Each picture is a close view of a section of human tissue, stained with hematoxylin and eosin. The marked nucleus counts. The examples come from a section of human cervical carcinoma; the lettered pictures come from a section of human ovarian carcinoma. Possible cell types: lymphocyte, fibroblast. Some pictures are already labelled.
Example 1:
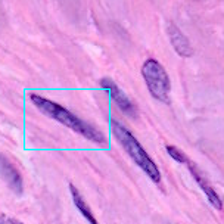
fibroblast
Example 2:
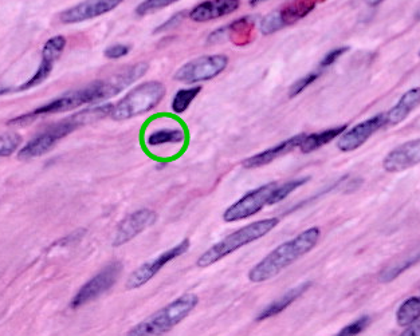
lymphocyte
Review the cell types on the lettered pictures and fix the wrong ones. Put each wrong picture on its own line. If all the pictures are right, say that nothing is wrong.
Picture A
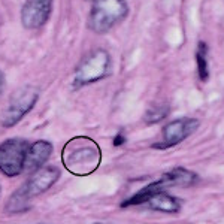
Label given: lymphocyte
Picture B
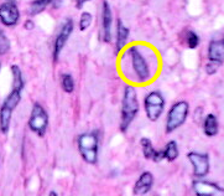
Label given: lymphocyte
A: change lymphocyte to fibroblast
B: change lymphocyte to fibroblast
